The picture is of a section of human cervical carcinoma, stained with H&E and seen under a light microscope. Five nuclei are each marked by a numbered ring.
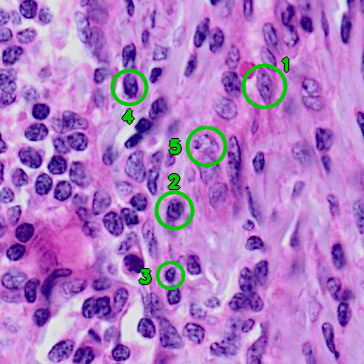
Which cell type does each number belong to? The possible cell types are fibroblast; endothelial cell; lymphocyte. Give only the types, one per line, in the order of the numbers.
endothelial cell
lymphocyte
lymphocyte
lymphocyte
endothelial cell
